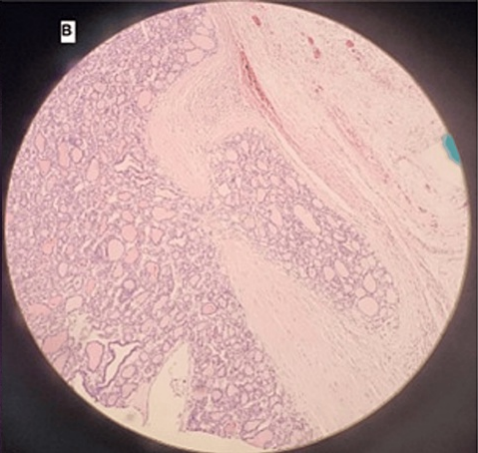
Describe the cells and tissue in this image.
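Thyroid follicular lesion at low power. Many follicles hold pale pink colloid, and a few are larger and distended. A broad band of dense, pale pink fibrous capsule runs from top to right. A rounded lobule of closely packed follicles pushes into this fibrous band and lies surrounded by it. Thin-walled vessels containing red cells lie within the capsule at upper right. A few empty cleft-like spaces are present among the follicles.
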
